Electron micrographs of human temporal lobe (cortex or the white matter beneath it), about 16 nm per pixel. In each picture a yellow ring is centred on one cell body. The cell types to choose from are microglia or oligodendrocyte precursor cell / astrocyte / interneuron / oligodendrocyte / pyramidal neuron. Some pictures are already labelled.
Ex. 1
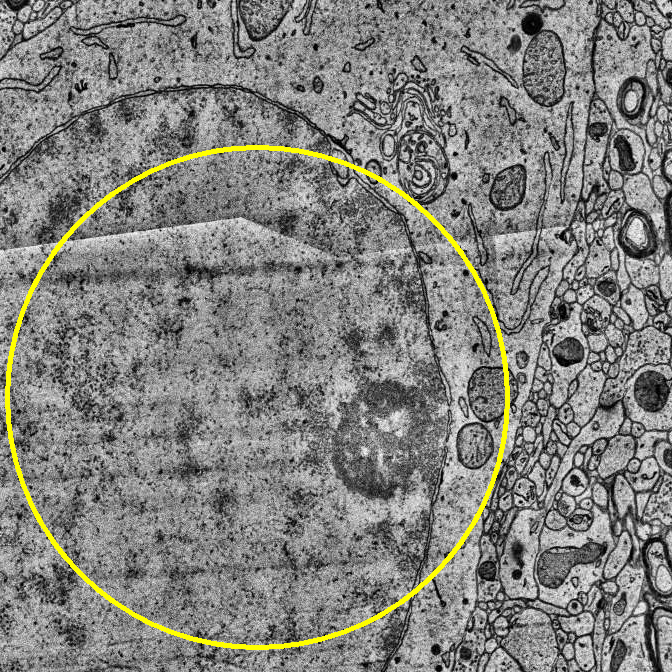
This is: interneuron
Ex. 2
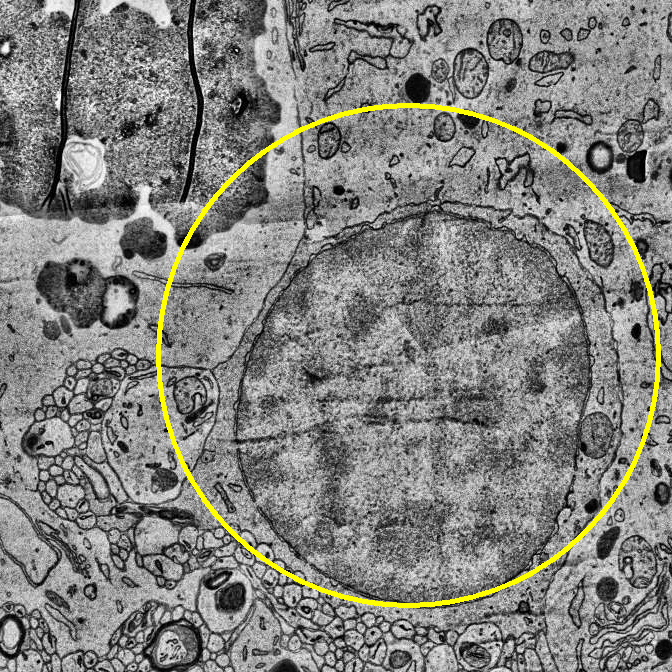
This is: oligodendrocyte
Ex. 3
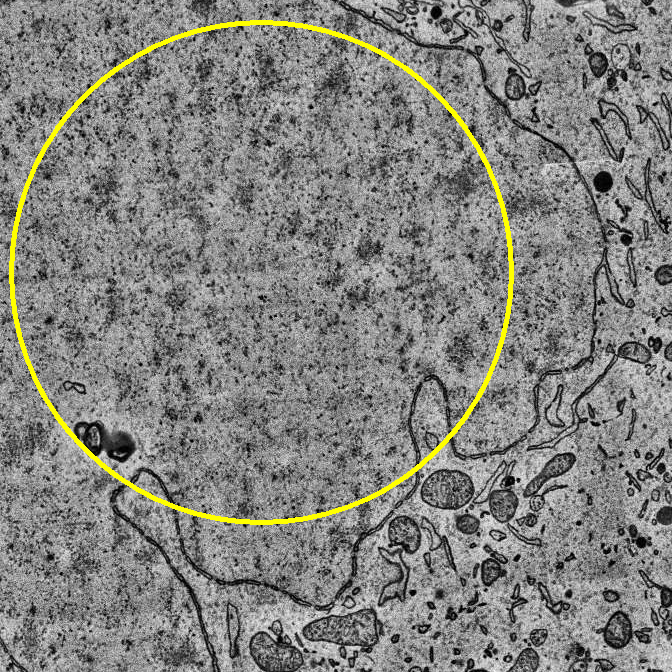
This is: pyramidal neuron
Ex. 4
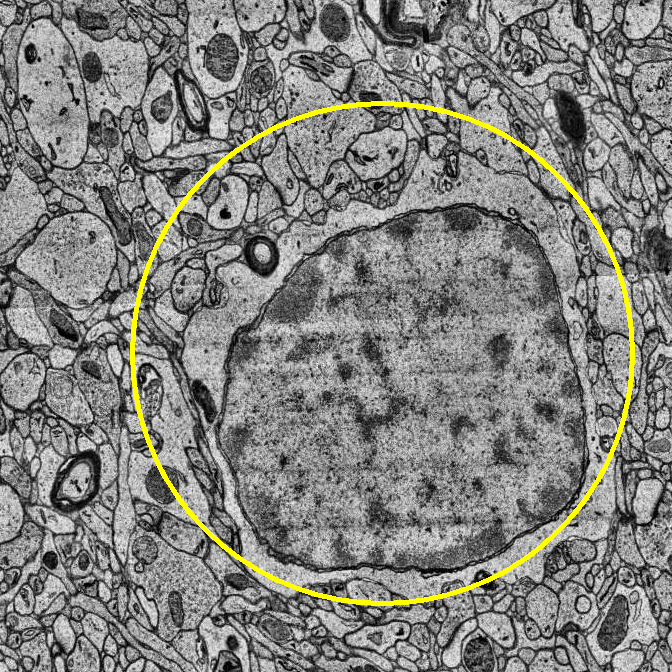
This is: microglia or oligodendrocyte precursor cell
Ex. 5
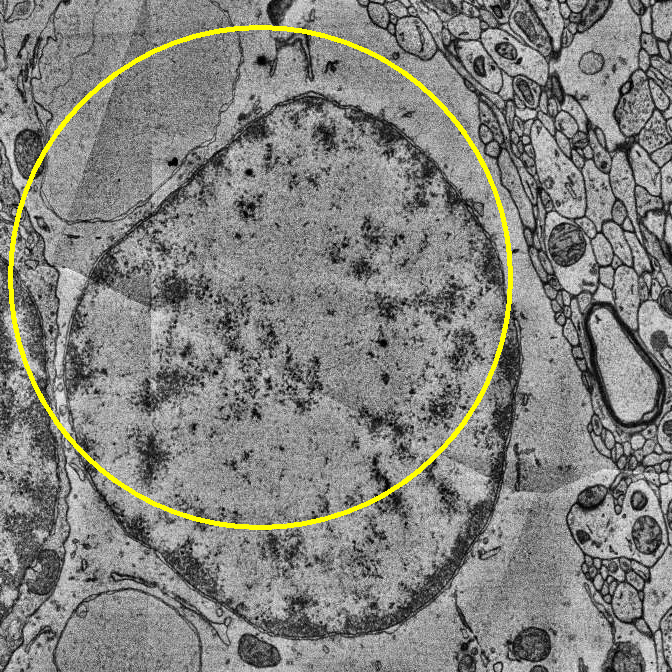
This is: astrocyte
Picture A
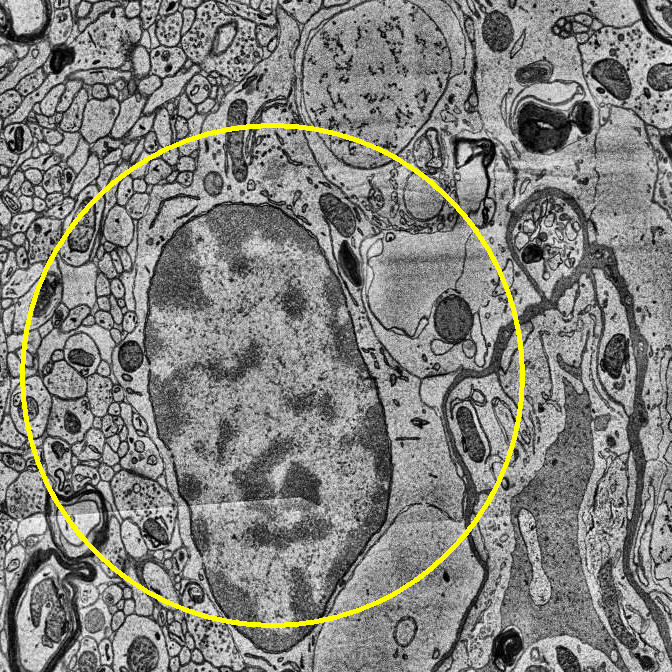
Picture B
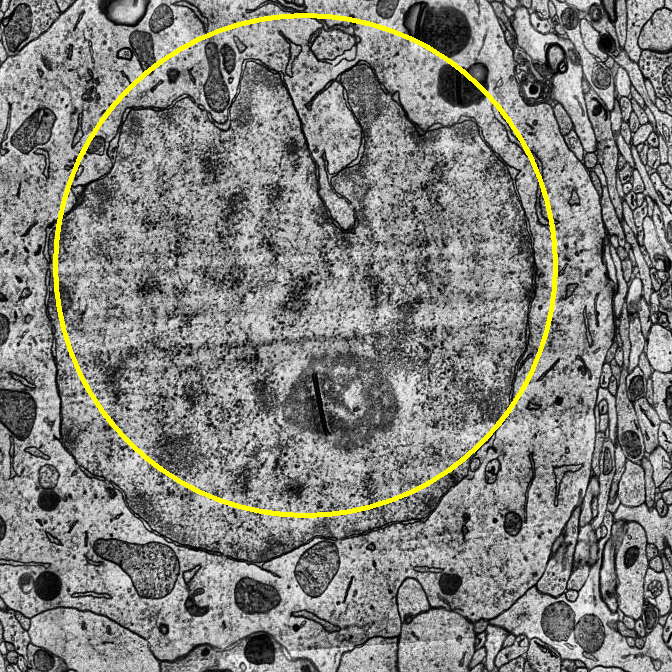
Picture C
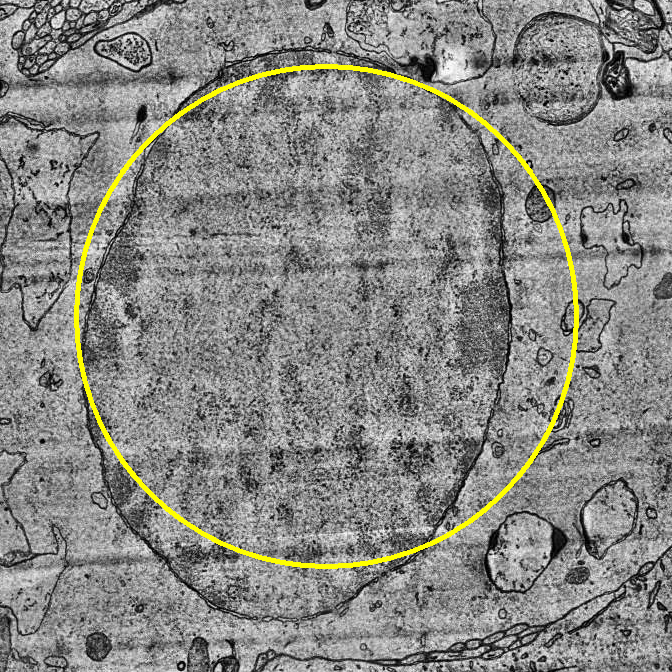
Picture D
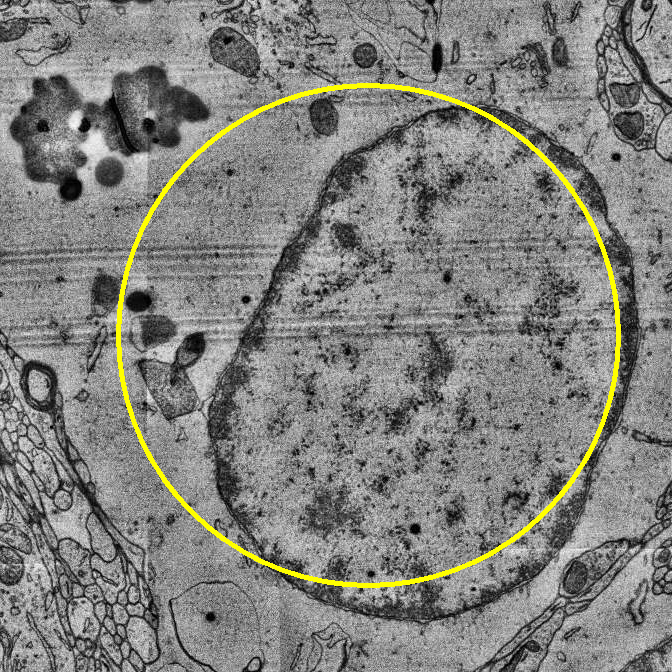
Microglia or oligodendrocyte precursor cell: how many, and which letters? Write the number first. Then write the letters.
1: A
